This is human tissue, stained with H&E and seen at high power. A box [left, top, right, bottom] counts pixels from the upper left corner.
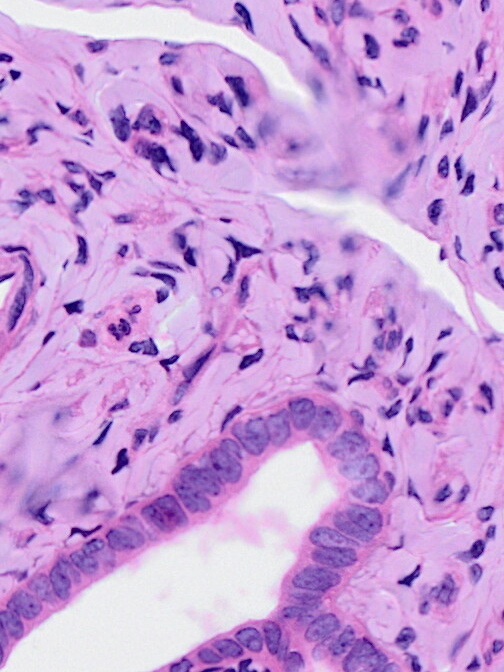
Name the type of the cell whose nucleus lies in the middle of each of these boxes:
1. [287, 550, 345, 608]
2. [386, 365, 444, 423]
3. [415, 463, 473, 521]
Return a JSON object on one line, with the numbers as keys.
{"1": "carcinoma cell", "2": "smooth muscle cell", "3": "smooth muscle cell"}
